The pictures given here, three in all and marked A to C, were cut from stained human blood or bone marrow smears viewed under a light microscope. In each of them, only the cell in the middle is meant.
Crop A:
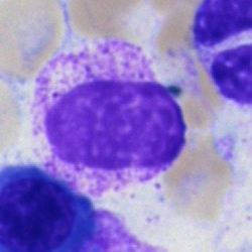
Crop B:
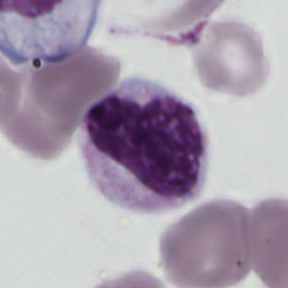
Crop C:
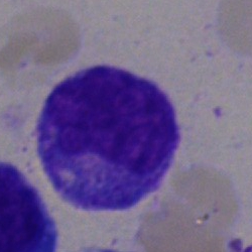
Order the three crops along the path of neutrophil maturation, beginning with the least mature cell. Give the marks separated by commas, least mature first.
C, A, B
